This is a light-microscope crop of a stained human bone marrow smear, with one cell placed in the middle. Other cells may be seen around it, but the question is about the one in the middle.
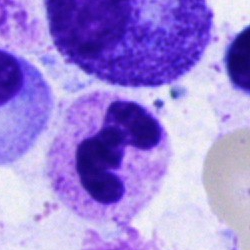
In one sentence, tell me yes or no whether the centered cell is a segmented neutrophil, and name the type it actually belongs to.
Yes, placed in the middle of the crop is a segmented neutrophil.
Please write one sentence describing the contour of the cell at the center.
Thanks for asking; the cell edge is smooth and has no projections.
